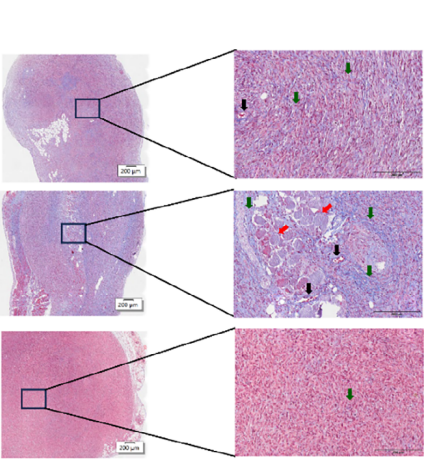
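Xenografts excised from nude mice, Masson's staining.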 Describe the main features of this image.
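In one enlarged field, wavy blue collagen fibers are abundant and surround red-purple muscle fiber bundles and small vessel lumens. Another field shows interlacing red and bluish fibers with occasional small vessels, while a third is mostly red-pink with little blue.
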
